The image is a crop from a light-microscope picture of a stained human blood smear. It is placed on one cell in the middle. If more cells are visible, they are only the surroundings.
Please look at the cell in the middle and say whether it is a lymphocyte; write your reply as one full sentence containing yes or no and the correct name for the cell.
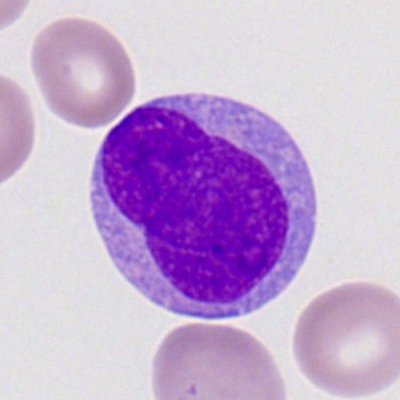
No, the cell centered in the crop is a myeloblast, not a lymphocyte.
